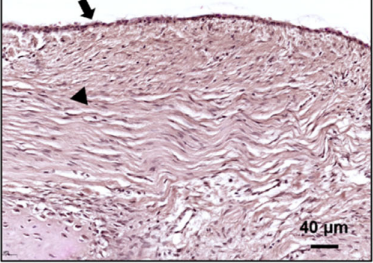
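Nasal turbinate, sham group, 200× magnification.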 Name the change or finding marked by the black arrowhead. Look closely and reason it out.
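Submucosal fibrosis. The tissue beneath the surface is filled with dense wavy bundles of fibres. Few glands or vessels remain in this dense tissue.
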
